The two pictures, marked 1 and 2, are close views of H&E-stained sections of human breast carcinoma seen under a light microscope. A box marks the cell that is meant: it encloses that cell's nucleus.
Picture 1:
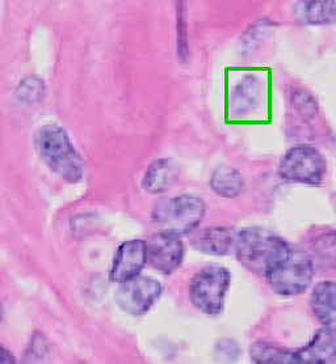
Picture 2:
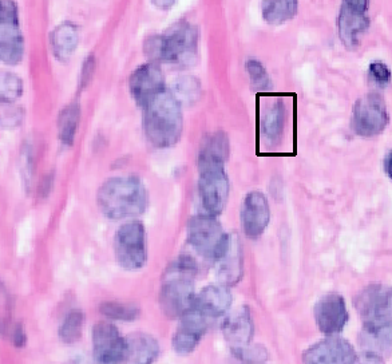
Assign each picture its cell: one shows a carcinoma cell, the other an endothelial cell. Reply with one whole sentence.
Picture 1 shows a carcinoma cell and picture 2 shows an endothelial cell.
